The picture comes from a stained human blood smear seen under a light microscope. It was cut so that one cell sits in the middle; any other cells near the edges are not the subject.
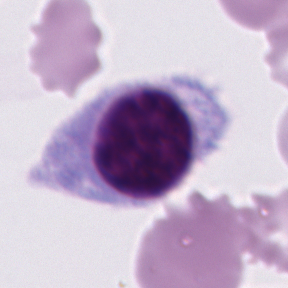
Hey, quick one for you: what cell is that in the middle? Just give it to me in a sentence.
This crop has a hairy cell at its centre.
